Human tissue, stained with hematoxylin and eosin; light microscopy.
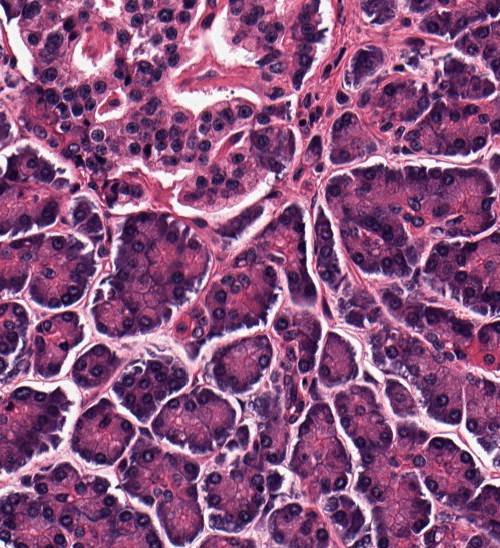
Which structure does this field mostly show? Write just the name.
exocrine pancreas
